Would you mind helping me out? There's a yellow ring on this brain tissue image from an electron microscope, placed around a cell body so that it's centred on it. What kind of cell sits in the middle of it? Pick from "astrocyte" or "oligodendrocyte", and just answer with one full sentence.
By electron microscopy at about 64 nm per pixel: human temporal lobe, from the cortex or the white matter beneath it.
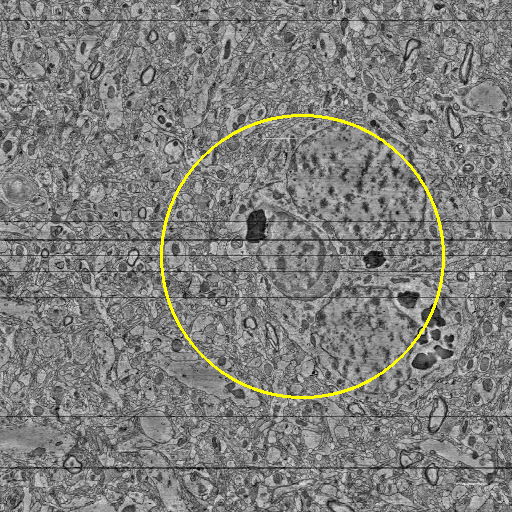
What sits in the middle of that yellow ring is an oligodendrocyte, from your choices.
